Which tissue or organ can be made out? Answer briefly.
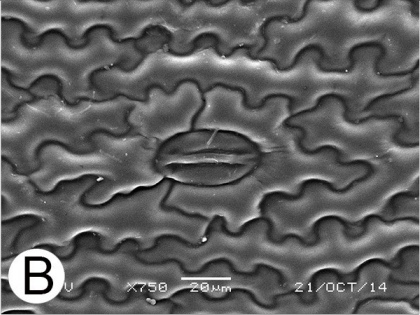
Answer: leaf epidermis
